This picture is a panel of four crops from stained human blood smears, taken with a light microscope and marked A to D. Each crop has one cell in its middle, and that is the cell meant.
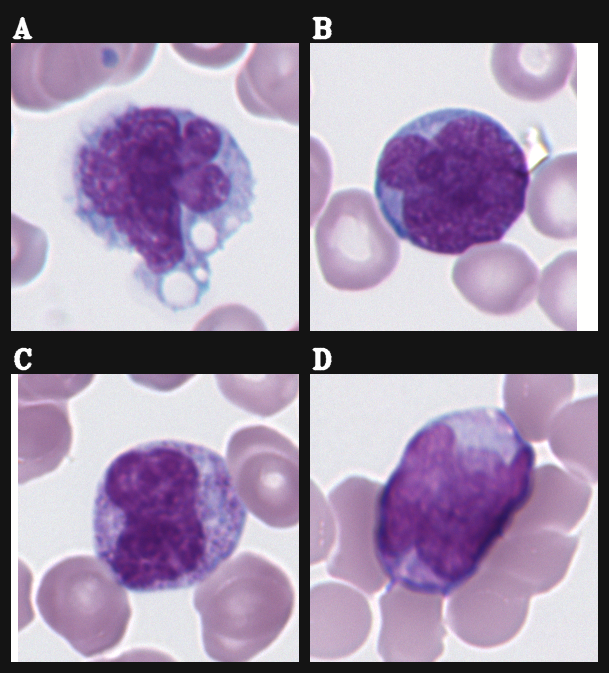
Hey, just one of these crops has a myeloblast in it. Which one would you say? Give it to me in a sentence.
Crop B is the right one; it is the crop showing a myeloblast.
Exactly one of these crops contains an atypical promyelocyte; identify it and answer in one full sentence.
The one showing an atypical promyelocyte is the crop labelled D.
